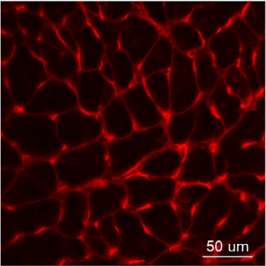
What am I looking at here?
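Heart muscle cut in cross-section, showing cardiomyocytes outlined by bright red borders. The cell profiles are polygonal to rounded and packed closely side by side, with thin red lines shared between neighbours. The cell interiors are dark and unstained, so only the outlines of the cells are seen.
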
